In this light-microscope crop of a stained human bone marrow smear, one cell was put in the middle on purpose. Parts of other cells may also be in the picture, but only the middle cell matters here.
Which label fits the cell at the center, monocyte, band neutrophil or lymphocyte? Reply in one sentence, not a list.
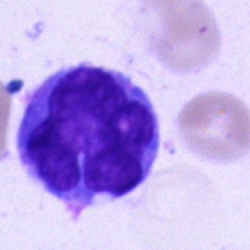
For this crop, the cell in the middle is a monocyte.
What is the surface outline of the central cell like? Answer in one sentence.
Its outline is ragged or drawn out into projections, not smooth.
